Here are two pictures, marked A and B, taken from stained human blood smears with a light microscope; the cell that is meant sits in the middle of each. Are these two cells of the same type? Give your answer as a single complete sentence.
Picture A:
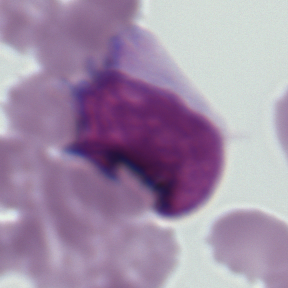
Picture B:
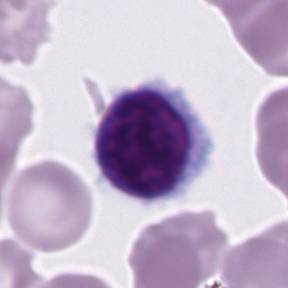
No, picture A shows a myeloblast and picture B shows a hairy cell.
